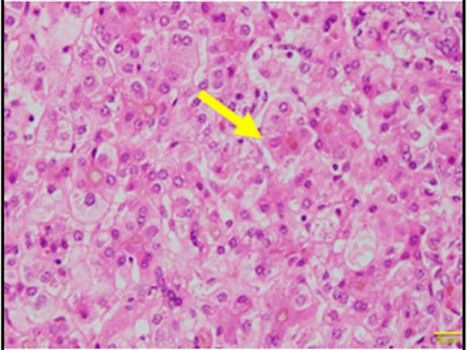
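This is liver parenchyma with polygonal hepatocytes that have pink cytoplasm and round central nuclei, but the orderly plates are lost and many cells look swollen with pale, cleared cytoplasm. Scattered among them are small, dense, rounded pink-orange bodies. Small dark nuclei of other cells lie in the spaces between the hepatocytes. The dense rounded bodies are acidophilic bodies in a hepatitis-like picture.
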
